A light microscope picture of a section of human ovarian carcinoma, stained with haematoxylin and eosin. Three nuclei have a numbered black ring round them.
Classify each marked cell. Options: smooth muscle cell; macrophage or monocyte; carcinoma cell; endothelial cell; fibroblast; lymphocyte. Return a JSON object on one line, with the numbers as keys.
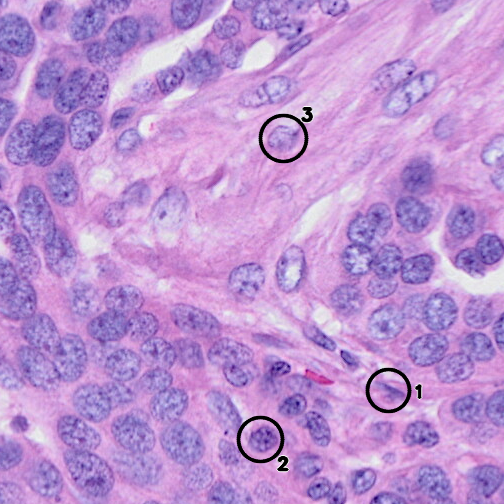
{"1": "fibroblast", "2": "macrophage or monocyte", "3": "fibroblast"}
